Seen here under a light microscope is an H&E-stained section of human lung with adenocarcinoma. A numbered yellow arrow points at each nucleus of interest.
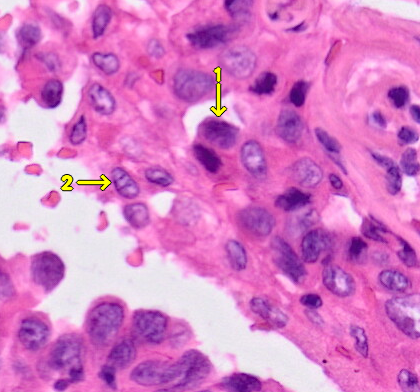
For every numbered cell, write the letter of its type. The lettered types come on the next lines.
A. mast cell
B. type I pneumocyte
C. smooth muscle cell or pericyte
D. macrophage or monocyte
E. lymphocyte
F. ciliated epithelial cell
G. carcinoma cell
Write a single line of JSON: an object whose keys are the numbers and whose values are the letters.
{"1": "G", "2": "D"}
